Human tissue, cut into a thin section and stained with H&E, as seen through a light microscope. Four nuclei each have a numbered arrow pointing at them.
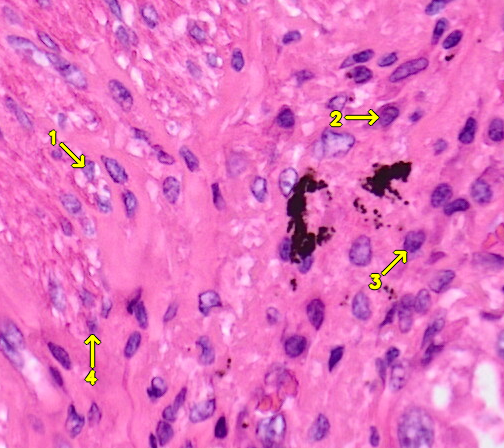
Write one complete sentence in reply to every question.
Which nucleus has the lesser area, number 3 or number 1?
Nucleus 1 is the smaller one; nucleus 3 covers about 2.5 times its area.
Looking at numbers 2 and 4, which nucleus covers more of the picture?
Nucleus 2 is larger, with an area about 2 times that of nucleus 4.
